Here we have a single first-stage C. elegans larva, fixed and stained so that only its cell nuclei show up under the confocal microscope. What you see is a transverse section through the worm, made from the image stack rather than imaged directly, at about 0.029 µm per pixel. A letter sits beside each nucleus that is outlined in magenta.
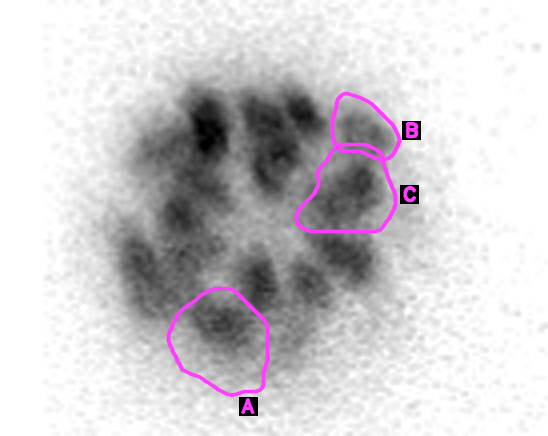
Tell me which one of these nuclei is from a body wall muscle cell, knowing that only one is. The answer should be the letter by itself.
B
